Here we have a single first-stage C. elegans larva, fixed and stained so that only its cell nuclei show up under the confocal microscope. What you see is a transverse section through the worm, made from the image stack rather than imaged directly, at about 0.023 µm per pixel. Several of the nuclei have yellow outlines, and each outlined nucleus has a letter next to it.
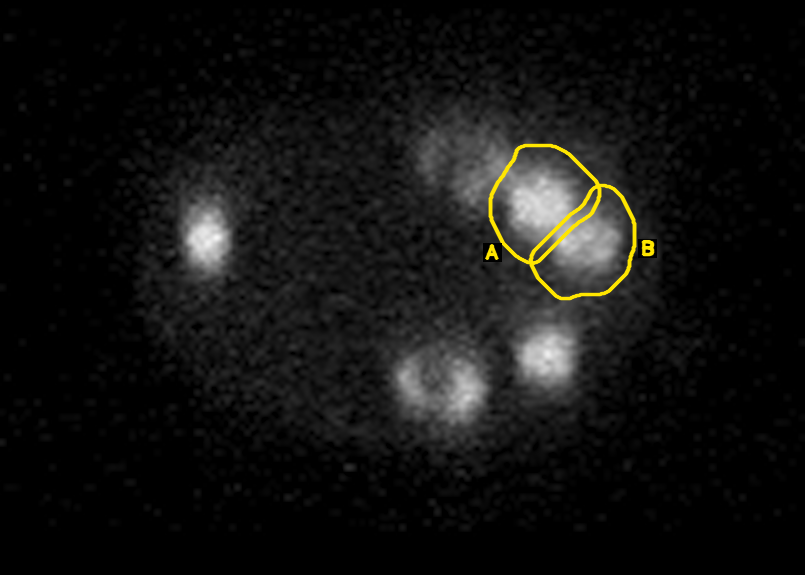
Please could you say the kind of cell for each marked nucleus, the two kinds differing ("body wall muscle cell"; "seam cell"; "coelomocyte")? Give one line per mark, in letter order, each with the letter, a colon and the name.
A: coelomocyte
B: body wall muscle cell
